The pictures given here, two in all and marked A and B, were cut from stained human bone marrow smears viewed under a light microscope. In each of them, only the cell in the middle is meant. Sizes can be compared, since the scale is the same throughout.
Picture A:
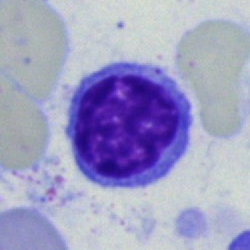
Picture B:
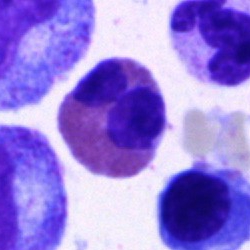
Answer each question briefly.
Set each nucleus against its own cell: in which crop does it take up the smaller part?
B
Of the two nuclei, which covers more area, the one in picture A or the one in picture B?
A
